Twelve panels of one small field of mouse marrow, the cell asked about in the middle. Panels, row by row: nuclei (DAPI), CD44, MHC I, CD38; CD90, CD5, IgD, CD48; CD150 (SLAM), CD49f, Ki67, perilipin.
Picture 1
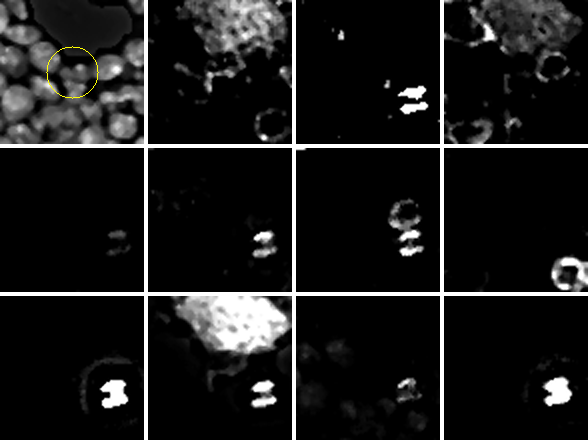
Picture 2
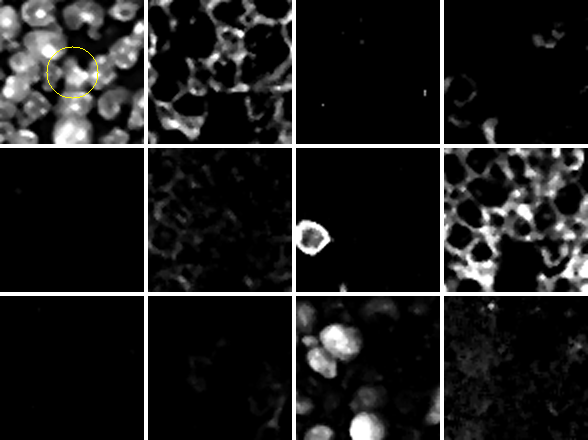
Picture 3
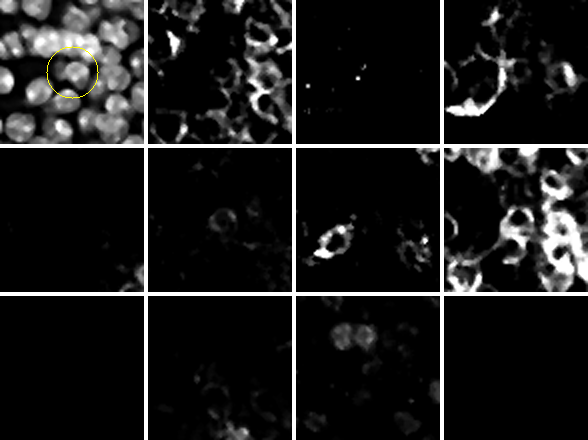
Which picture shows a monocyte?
Picture 2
